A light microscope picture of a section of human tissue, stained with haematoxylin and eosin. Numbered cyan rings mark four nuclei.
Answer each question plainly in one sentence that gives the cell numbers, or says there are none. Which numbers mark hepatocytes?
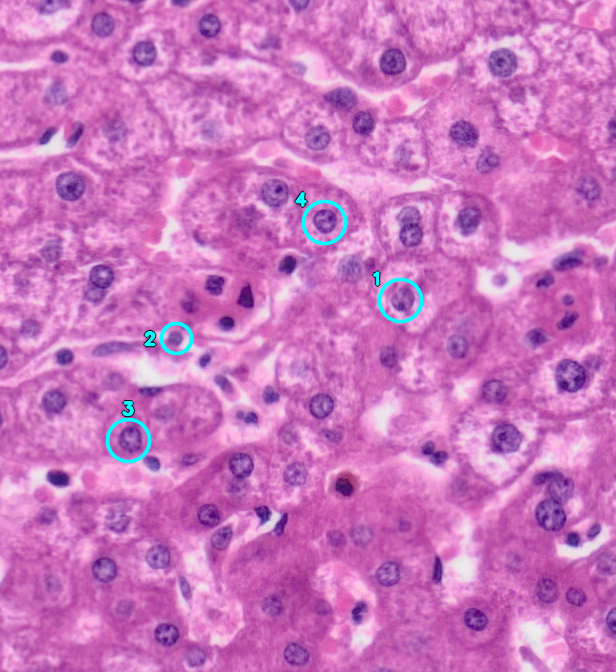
The cells bearing the numbers 1, 3 and 4 are hepatocytes.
